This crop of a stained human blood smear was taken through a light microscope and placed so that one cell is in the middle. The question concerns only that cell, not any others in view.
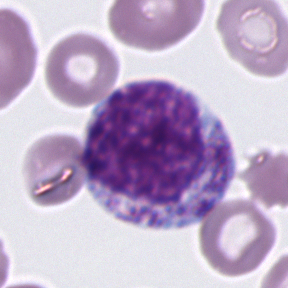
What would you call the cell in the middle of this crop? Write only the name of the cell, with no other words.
myelocyte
